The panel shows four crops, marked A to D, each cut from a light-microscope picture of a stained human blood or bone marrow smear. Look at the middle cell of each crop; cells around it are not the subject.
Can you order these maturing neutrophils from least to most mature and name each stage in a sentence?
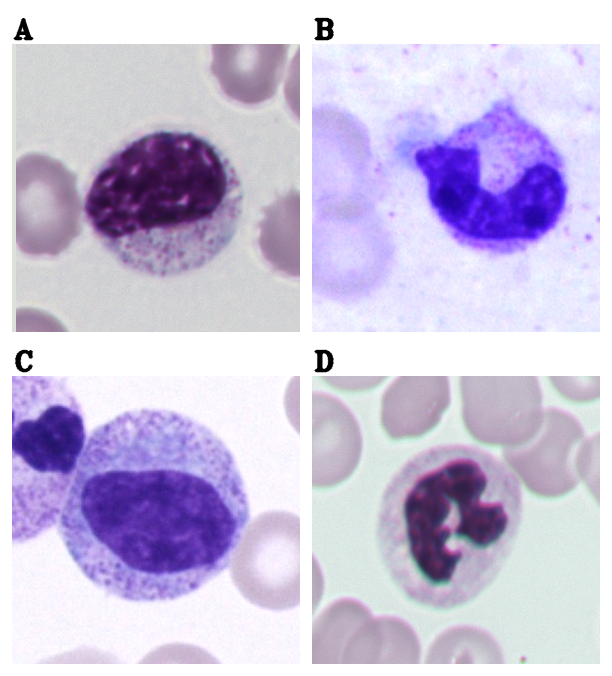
The ordering by maturity, from earliest to most mature, is crop C (a myelocyte), crop A (a metamyelocyte), crop B (a band neutrophil) and crop D (a segmented neutrophil).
